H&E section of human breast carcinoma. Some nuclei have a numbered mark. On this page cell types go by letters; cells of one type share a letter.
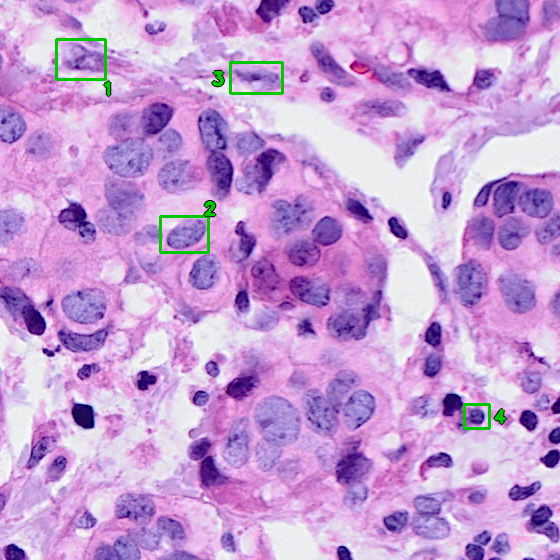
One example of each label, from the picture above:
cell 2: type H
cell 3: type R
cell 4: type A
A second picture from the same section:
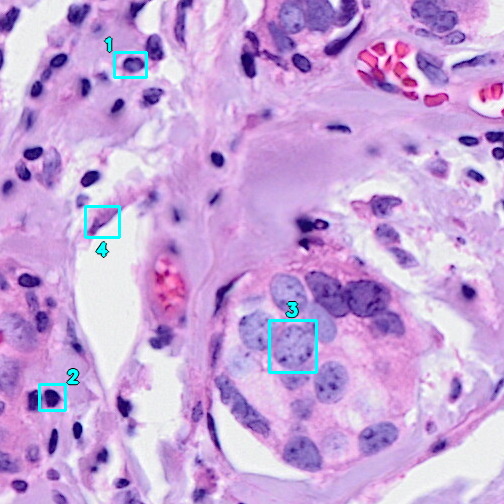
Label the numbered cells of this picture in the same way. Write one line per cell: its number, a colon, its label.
1: type A
2: type A
3: type H
4: type R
